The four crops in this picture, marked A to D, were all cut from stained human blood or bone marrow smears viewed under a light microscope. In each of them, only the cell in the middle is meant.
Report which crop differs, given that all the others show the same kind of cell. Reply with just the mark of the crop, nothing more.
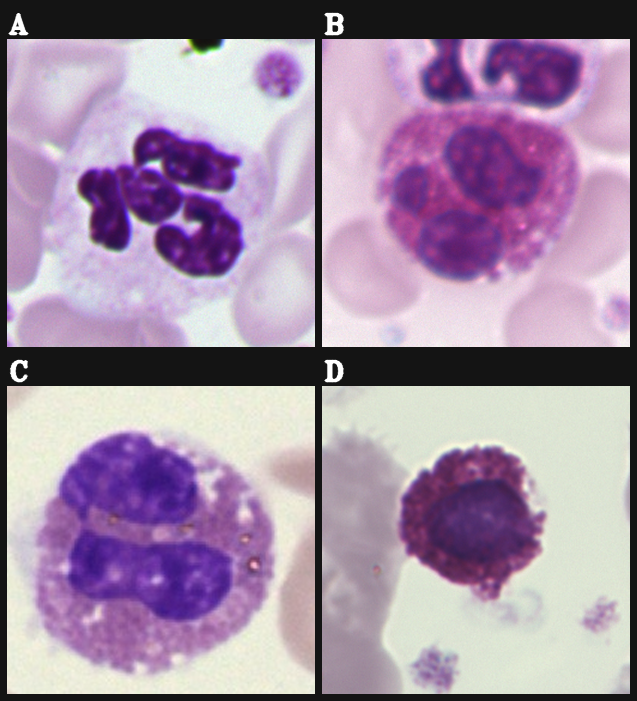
A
